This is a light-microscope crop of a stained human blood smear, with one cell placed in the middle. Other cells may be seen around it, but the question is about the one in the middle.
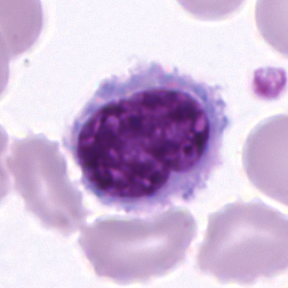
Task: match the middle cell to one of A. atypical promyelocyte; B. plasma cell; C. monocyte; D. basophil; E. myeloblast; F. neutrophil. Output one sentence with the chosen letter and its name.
The cell right in the middle is a plasma cell, so option B is the one.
